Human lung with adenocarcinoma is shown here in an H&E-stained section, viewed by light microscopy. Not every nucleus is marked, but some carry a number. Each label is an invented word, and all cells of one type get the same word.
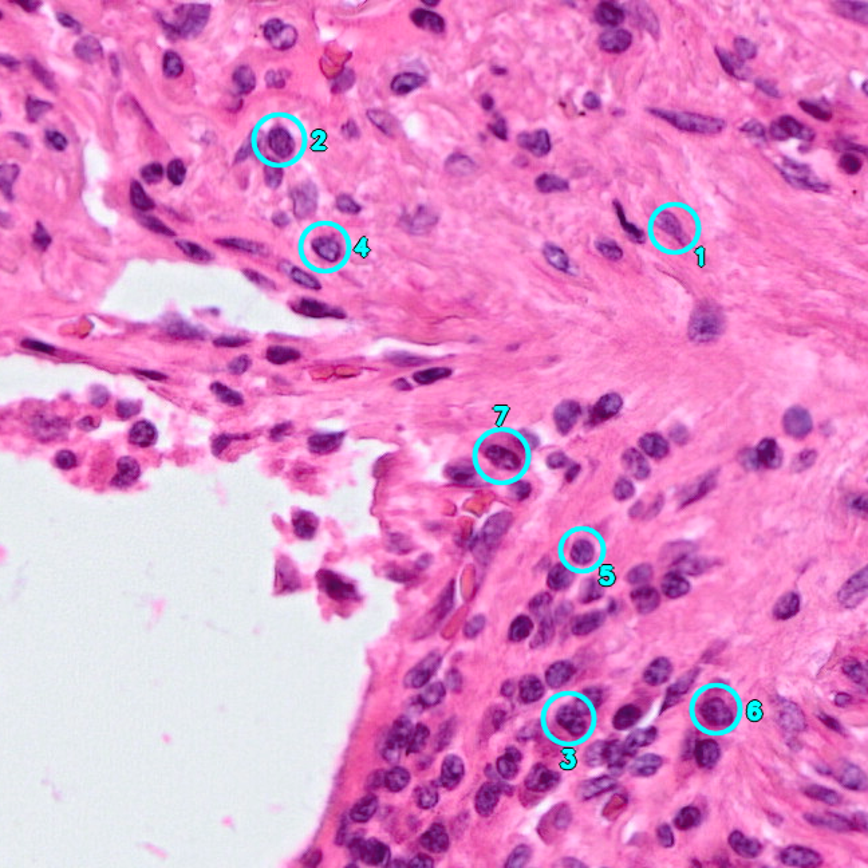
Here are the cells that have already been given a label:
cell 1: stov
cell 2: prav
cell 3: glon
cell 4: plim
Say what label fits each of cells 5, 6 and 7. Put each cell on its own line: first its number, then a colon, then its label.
5: prav
6: glon
7: glon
